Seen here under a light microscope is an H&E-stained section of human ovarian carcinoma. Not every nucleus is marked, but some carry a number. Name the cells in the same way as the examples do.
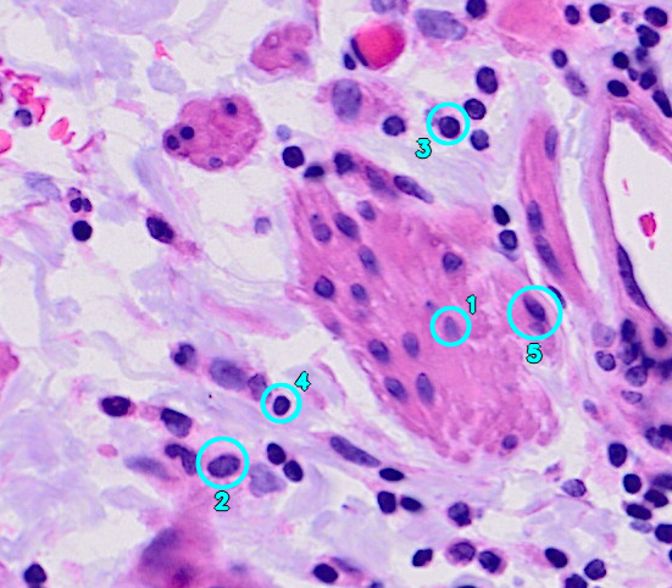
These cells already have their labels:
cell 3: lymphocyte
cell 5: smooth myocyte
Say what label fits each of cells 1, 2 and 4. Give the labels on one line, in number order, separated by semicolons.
smooth myocyte; lymphocyte; lymphocyte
